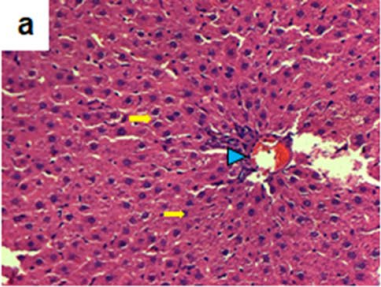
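Liver tissue with hepatocytes arranged in cords that radiate from a central vein. The hepatocytes are polygonal, with evenly pink cytoplasm and round, dark central nuclei. Narrow pale spaces run between the cords. The central vein holds a little blood.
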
